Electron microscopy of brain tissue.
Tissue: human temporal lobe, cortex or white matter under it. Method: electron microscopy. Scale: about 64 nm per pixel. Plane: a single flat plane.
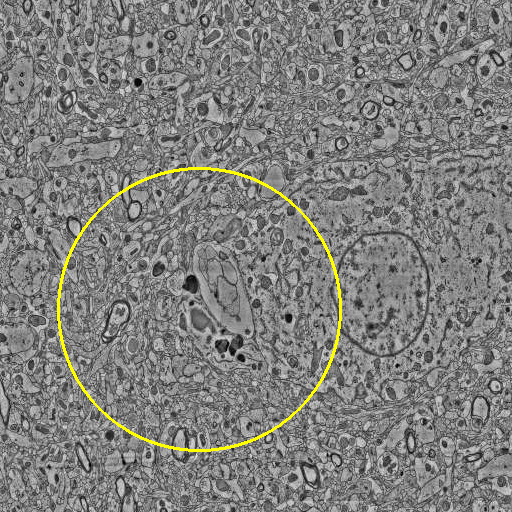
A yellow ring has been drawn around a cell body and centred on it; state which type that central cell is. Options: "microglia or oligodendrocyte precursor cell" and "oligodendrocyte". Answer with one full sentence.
The cell at the middle of the yellow ring is a microglial cell or oligodendrocyte precursor cell in this picture.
